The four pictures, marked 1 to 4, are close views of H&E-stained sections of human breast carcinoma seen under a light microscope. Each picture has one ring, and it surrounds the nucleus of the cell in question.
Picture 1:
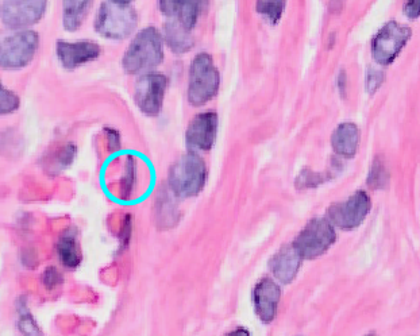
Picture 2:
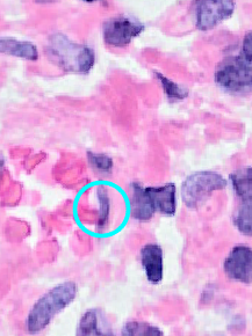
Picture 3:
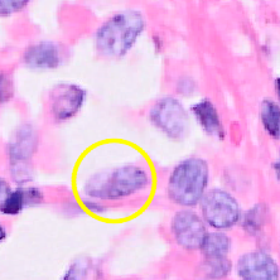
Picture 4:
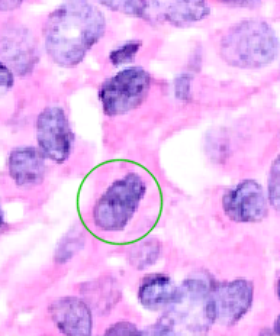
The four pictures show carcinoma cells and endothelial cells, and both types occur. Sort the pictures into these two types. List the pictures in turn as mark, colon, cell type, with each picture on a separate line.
1: endothelial cell
2: endothelial cell
3: carcinoma cell
4: carcinoma cell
